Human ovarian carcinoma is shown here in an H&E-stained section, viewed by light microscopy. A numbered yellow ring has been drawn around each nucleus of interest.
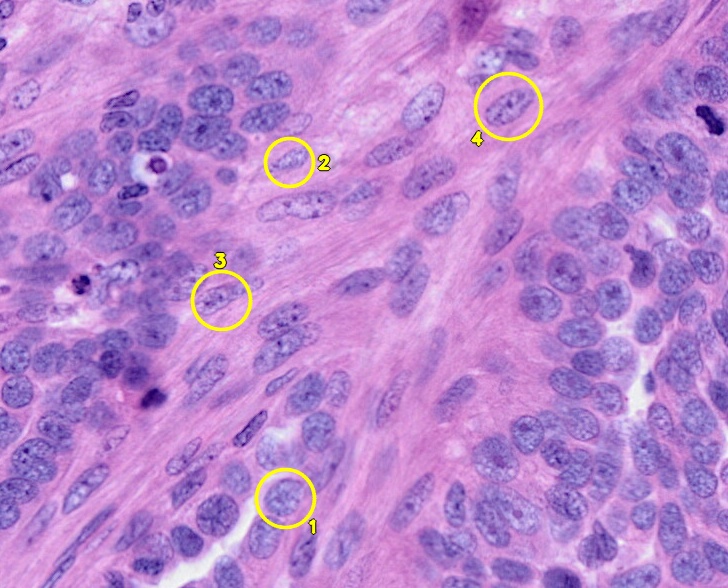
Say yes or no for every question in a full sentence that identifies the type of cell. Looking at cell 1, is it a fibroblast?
No, instead of a fibroblast, the cell with number 1 is a carcinoma cell.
